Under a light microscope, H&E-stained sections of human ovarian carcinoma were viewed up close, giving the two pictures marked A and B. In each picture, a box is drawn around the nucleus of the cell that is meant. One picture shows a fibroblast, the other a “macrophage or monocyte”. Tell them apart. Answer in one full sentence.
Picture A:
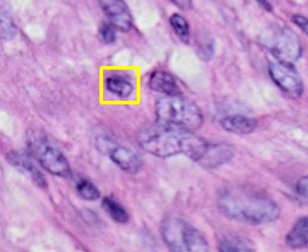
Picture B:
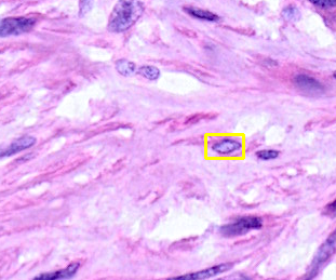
Picture B shows a fibroblast, while picture A shows a “macrophage or monocyte”.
